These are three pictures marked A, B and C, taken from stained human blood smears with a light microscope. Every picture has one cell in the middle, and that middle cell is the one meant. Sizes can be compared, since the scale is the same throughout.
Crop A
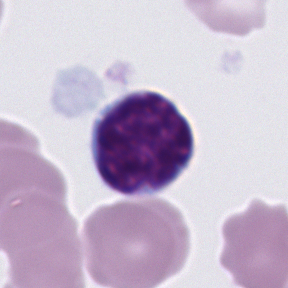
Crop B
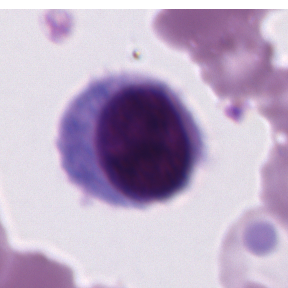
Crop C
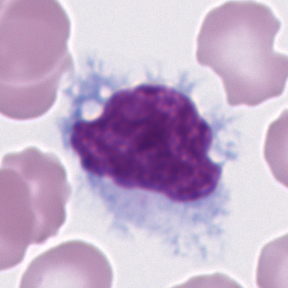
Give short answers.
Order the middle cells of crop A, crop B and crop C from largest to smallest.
C, B, A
